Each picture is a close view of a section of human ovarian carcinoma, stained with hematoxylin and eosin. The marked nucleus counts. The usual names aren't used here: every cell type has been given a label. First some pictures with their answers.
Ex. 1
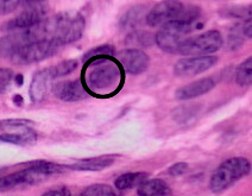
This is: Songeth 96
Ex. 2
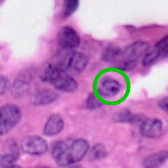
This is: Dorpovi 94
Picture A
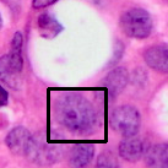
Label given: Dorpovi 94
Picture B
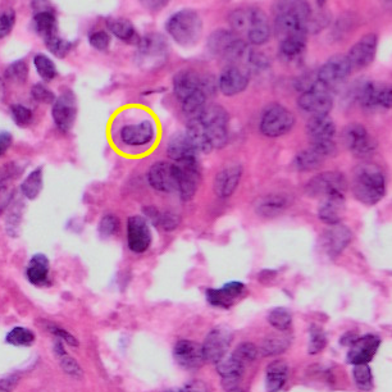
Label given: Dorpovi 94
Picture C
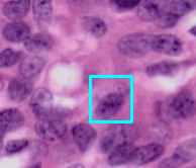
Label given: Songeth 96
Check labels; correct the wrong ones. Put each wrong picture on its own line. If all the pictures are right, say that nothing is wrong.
A should be Songeth 96, not Dorpovi 94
